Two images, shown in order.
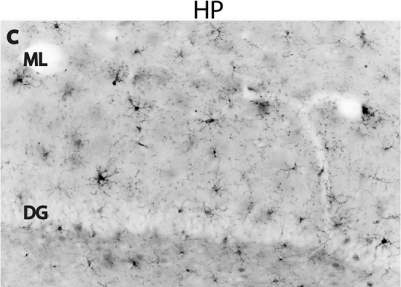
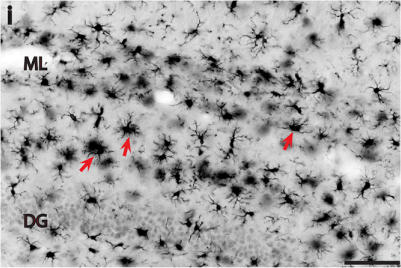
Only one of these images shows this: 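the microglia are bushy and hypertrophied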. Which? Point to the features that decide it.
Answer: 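Second image: many enlarged, intensely dark cells with thick, dense short branches. First image: fewer small, pale-to-moderate cells with thin delicate branches. The answer: the second image.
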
